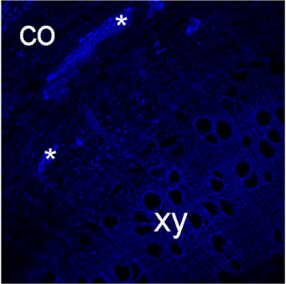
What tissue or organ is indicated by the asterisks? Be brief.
sclerenchyma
